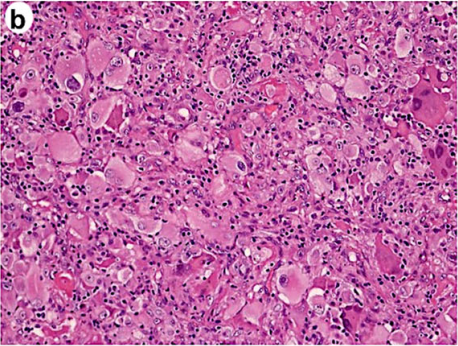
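Sheets of tumor cells of strikingly unequal size are seen, many large and polygonal with abundant glassy pink cytoplasm, some holding several nuclei. Nuclei vary widely in size, shape and darkness, and small dark round cells are scattered between the large ones. This wide variation in cell and nuclear form is marked nuclear atypia of a high-grade tumor.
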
